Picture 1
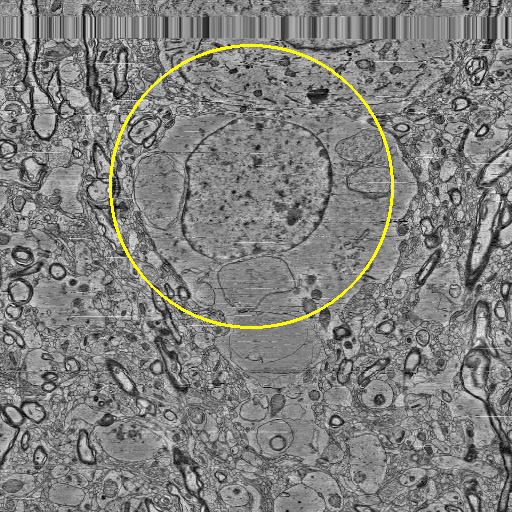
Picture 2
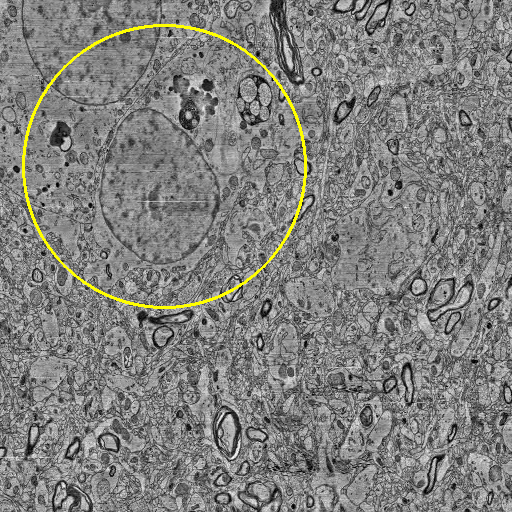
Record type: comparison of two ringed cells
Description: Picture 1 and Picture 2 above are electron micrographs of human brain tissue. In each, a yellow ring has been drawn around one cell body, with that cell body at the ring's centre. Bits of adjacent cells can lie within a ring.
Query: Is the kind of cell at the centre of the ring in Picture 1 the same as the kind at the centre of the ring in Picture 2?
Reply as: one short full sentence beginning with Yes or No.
Yes, the two ringed cells are of the same kind.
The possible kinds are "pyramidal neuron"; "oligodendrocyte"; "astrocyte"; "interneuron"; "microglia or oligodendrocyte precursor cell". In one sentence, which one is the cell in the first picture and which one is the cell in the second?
Each of the ringed cells, first and second, is an astrocyte.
